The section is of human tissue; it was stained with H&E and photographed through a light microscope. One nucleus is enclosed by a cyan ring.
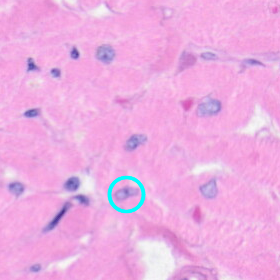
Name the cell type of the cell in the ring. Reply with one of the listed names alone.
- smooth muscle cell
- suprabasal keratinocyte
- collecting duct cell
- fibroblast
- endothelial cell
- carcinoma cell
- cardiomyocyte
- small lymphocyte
cardiomyocyte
